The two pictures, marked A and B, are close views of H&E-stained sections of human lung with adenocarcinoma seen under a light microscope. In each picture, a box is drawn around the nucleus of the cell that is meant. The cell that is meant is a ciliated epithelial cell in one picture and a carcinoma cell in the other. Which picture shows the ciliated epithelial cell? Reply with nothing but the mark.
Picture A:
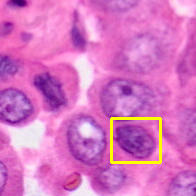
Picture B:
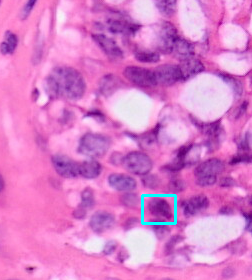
B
